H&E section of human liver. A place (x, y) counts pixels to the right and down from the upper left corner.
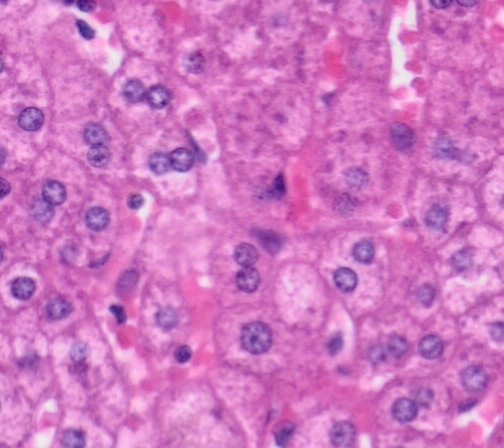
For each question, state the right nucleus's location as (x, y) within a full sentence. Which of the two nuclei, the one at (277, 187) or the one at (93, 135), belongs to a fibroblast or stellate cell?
Answering which nucleus it is: the one at (277, 187), belonging to a fibroblast or stellate cell.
